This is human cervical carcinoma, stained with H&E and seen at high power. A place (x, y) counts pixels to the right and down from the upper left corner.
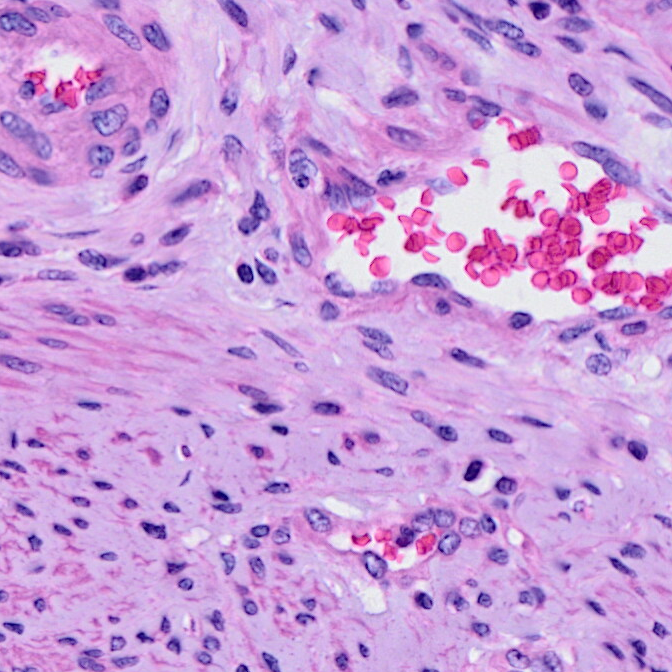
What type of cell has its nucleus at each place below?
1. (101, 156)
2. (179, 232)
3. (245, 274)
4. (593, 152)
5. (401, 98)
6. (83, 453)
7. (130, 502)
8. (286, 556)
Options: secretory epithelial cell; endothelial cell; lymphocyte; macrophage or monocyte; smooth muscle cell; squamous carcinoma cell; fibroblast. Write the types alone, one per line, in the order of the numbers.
smooth muscle cell
fibroblast
lymphocyte
endothelial cell
macrophage or monocyte
smooth muscle cell
smooth muscle cell
smooth muscle cell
